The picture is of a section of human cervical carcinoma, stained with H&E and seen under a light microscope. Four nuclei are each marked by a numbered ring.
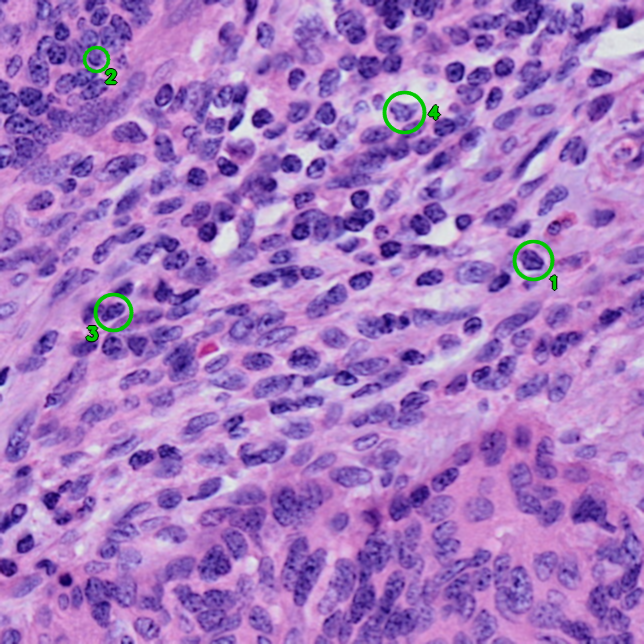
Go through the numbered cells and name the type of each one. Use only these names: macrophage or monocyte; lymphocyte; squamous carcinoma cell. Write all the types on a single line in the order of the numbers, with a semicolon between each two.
lymphocyte; squamous carcinoma cell; lymphocyte; lymphocyte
